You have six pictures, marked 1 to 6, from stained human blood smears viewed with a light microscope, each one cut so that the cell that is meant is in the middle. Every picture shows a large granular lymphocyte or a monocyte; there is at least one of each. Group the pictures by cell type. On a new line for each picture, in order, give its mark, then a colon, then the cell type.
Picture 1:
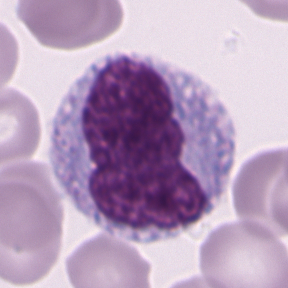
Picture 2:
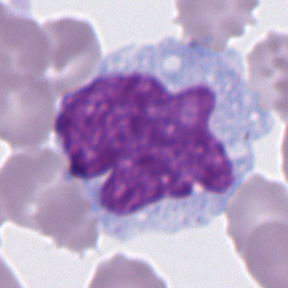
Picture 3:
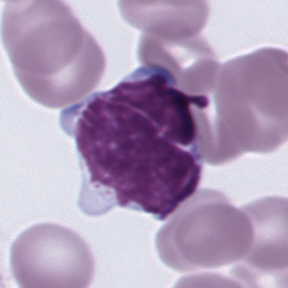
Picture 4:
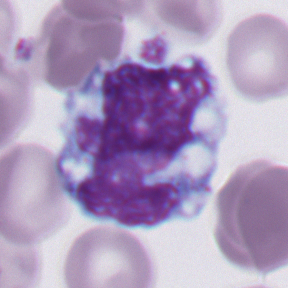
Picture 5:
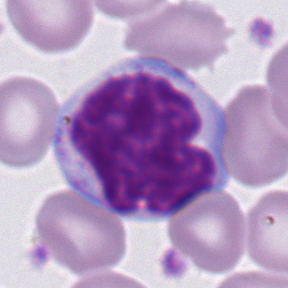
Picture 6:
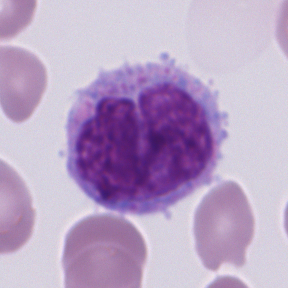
1: monocyte
2: monocyte
3: large granular lymphocyte
4: monocyte
5: large granular lymphocyte
6: monocyte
